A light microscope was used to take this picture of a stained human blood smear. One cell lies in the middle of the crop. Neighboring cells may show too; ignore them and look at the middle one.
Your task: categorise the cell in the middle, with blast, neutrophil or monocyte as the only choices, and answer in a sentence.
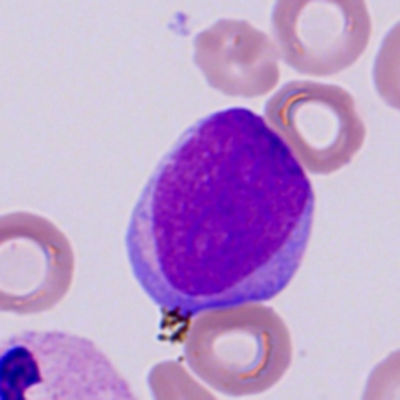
This crop has a blast at its centre.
